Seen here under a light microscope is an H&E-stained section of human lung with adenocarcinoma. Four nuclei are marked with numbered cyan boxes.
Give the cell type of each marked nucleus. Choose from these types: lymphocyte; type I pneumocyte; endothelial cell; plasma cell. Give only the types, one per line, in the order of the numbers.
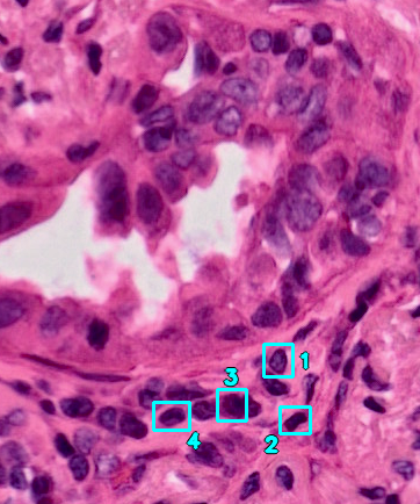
lymphocyte
plasma cell
plasma cell
lymphocyte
